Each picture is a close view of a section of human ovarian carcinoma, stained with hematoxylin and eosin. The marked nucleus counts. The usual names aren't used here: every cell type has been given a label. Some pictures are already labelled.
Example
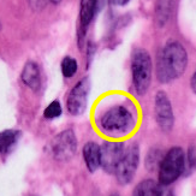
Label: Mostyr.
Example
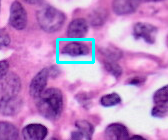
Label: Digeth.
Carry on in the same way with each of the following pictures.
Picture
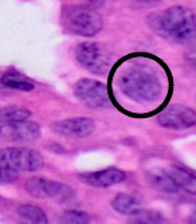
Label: Digeth.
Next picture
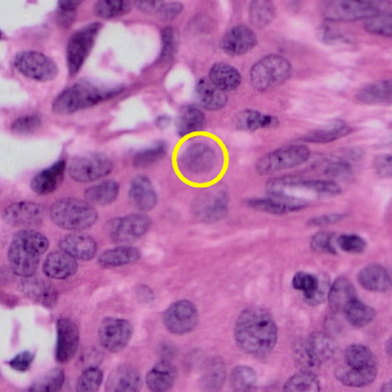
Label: Digeth.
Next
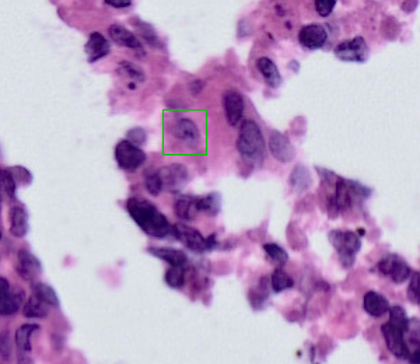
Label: Mostyr.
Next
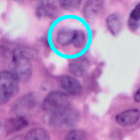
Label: Mostyr.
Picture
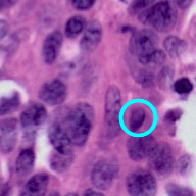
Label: Digeth.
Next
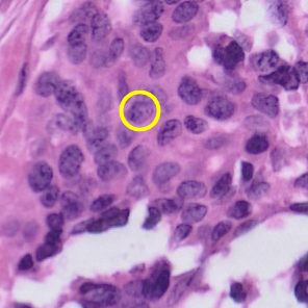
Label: Digeth.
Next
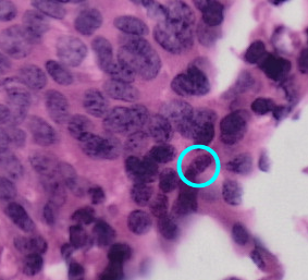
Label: Digeth.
